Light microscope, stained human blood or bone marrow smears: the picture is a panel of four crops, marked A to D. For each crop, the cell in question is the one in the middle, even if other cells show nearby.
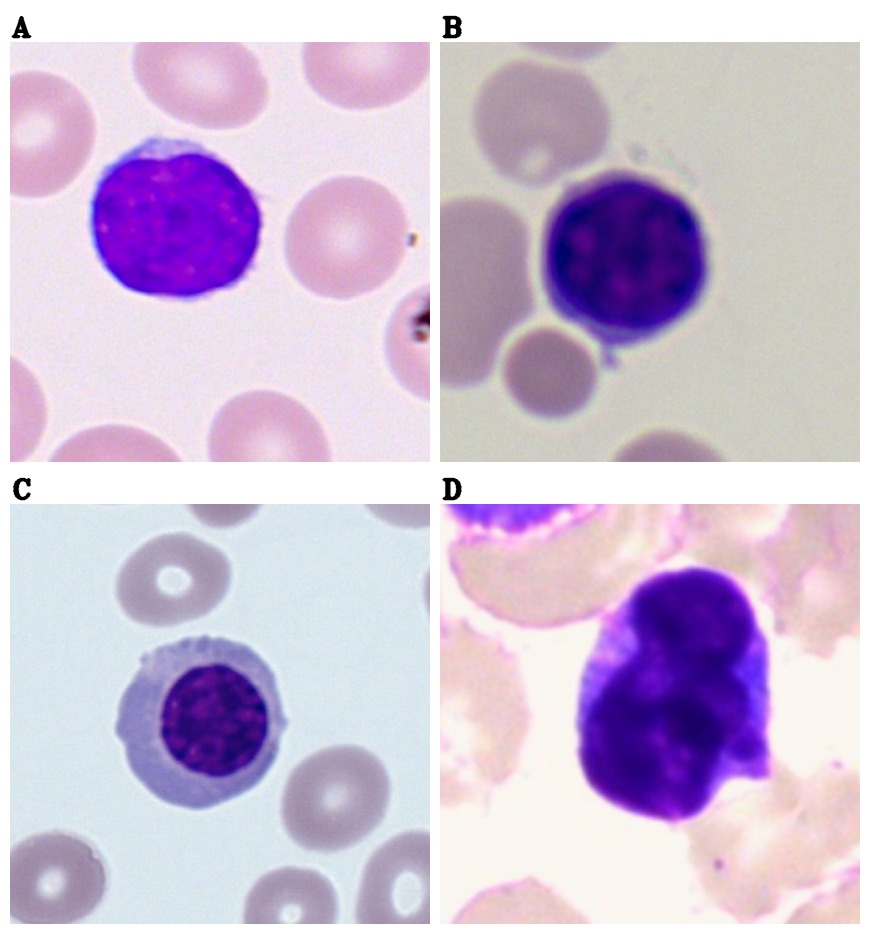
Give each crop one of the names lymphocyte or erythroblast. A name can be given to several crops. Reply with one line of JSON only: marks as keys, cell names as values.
{"A": "lymphocyte", "B": "lymphocyte", "C": "erythroblast", "D": "lymphocyte"}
